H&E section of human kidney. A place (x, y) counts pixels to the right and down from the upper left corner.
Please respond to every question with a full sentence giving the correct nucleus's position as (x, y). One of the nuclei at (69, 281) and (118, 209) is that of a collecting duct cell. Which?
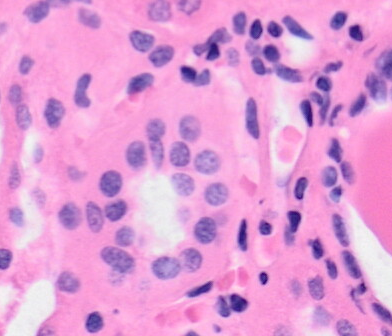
Which one belongs to a collecting duct cell? The nucleus at (118, 209) does.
